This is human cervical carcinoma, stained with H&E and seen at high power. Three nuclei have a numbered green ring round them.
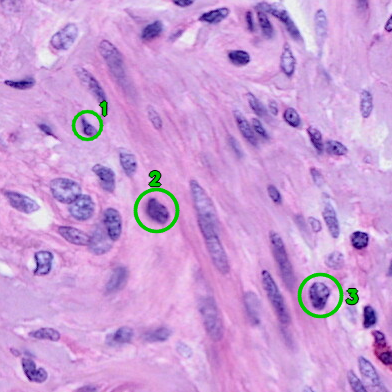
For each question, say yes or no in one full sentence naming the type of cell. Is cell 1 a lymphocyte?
No, cell 1 does not represent a lymphocyte; it represents a fibroblast.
